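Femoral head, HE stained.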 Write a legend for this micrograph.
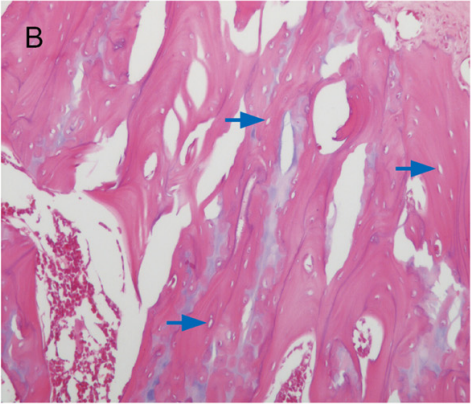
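Pink lamellar bone runs in long, roughly parallel bands separated by narrow elongated spaces. Many of the small lacunae in the matrix look empty, without a dark nucleus inside. Pale bluish patches lie between some bony bands. At the left a marrow space is filled mainly with red blood cells and few nucleated cells, suggesting a bone with empty lacunae.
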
